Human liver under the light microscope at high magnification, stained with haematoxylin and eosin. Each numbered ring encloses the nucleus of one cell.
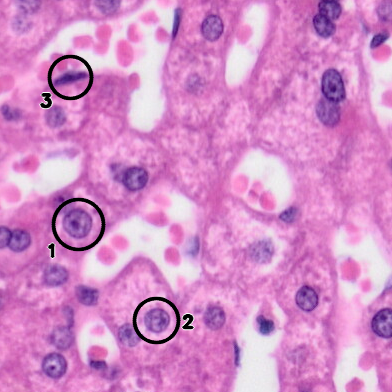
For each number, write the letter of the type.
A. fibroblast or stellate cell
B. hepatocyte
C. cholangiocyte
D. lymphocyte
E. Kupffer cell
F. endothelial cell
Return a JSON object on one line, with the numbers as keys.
{"1": "B", "2": "B", "3": "A"}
